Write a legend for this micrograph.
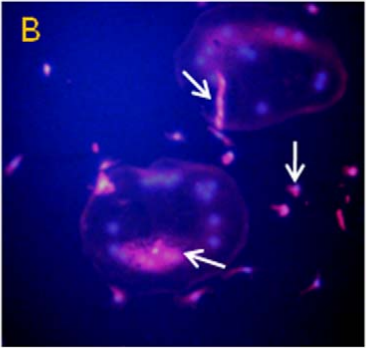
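Red-pink staining outlines parts of their margins and forms a bright patch in the lower cell, with fainter diffuse tint across the cytoplasm. Around them lie small, scattered cells, many appearing as compact red-pink dots or short spindle shapes against the dark blue background.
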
